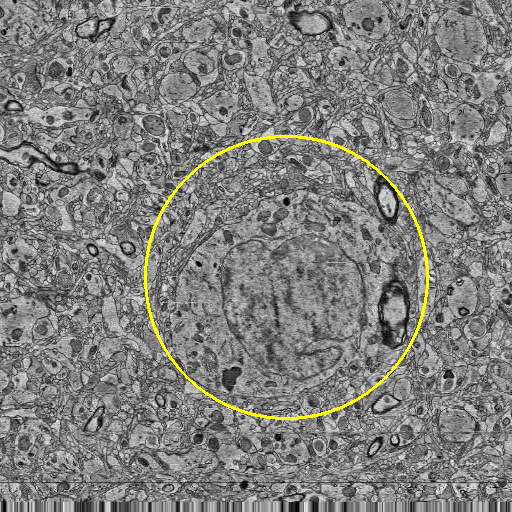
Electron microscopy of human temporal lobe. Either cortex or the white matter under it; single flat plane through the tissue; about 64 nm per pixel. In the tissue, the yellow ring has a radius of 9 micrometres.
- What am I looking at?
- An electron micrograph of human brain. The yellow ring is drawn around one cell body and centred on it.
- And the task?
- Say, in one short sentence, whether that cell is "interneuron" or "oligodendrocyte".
The cell in the middle of the ring is an interneuron.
